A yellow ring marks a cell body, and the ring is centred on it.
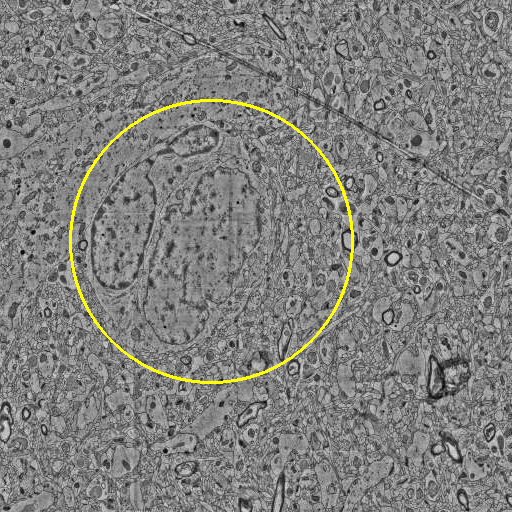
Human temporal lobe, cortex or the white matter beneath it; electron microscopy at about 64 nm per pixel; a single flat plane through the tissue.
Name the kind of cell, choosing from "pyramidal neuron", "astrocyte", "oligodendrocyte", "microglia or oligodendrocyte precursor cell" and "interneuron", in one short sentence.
The marked cell body belongs to an interneuron.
